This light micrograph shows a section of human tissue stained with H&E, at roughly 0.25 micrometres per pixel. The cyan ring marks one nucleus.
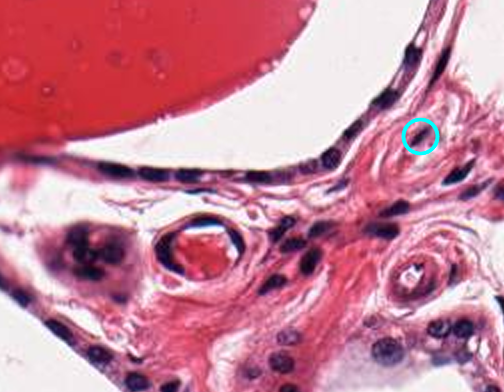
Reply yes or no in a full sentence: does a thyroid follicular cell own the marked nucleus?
No, the owner of the marked nucleus is a supporting cell, not a thyroid follicular cell.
